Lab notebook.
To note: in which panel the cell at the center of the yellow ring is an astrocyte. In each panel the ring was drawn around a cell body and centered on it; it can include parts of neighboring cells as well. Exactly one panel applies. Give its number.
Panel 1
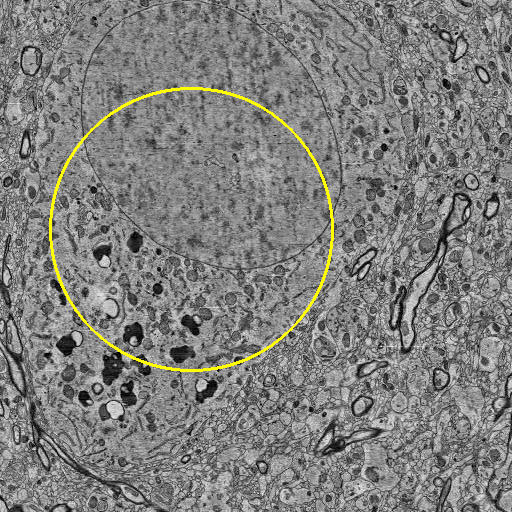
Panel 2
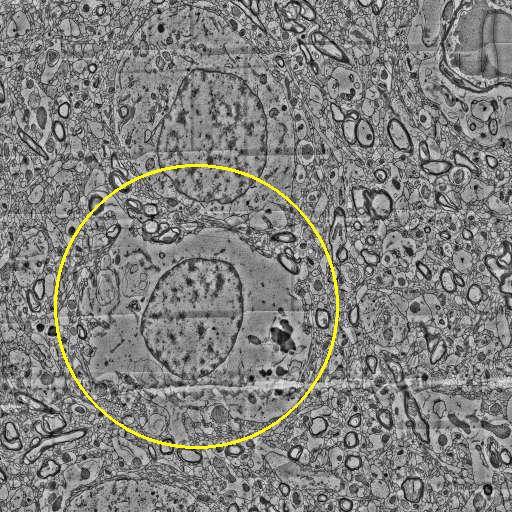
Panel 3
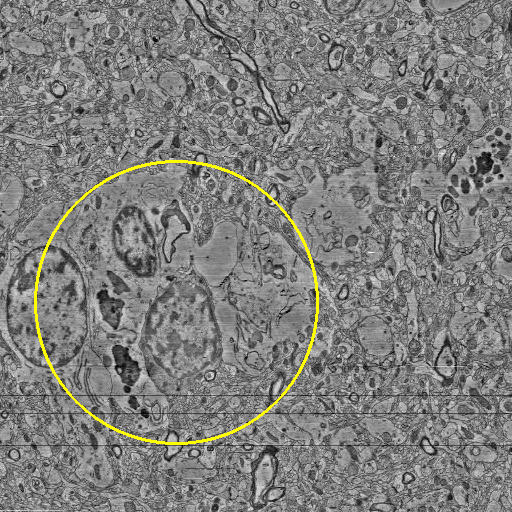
2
